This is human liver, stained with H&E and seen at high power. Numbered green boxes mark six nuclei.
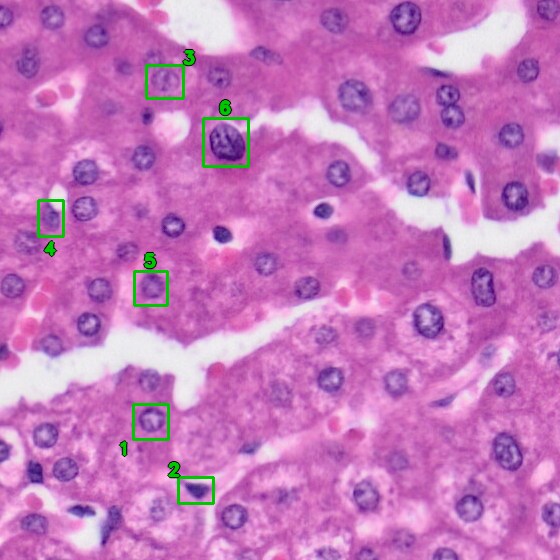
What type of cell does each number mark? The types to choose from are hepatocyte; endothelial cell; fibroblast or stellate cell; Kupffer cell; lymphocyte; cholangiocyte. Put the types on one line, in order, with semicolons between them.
hepatocyte; lymphocyte; hepatocyte; endothelial cell; hepatocyte; hepatocyte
